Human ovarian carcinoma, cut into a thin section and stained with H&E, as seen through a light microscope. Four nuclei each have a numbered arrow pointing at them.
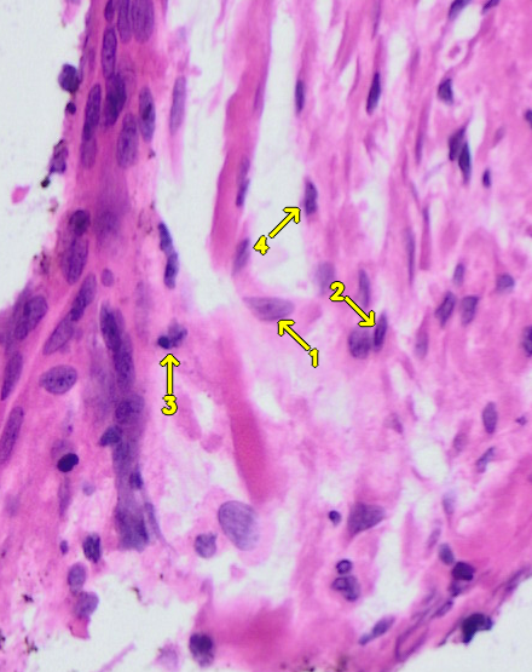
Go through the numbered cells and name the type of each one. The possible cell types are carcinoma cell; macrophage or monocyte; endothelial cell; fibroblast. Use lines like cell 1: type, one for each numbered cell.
cell 1: fibroblast
cell 2: fibroblast
cell 3: macrophage or monocyte
cell 4: fibroblast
